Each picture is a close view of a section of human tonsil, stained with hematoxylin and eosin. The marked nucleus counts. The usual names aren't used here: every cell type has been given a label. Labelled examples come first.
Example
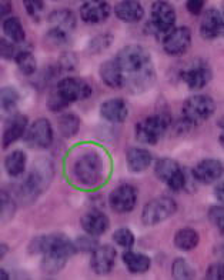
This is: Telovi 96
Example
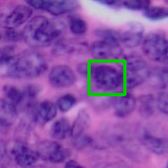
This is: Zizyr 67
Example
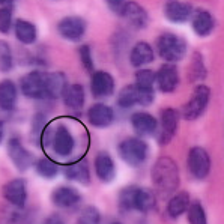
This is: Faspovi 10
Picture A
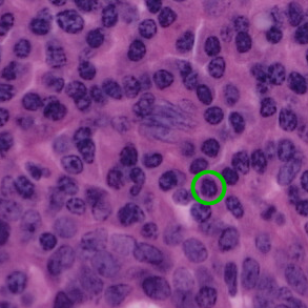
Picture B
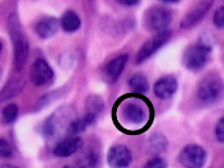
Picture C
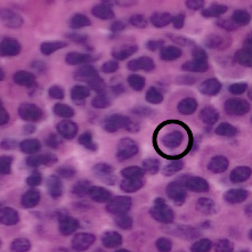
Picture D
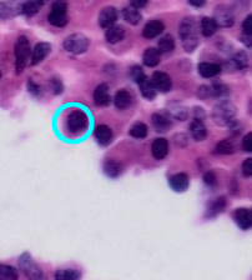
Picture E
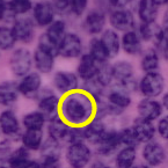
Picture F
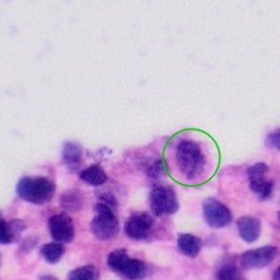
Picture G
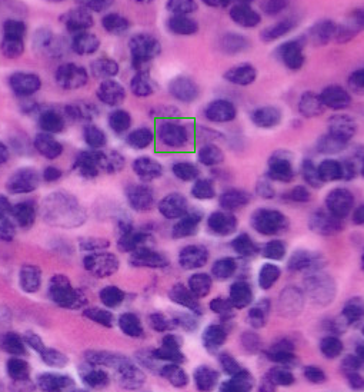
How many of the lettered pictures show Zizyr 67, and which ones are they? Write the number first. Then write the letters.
Count: 1 (F)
